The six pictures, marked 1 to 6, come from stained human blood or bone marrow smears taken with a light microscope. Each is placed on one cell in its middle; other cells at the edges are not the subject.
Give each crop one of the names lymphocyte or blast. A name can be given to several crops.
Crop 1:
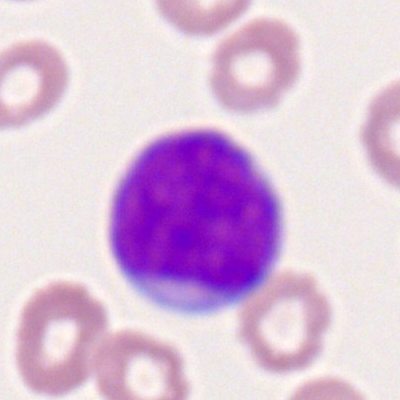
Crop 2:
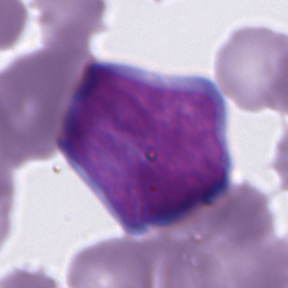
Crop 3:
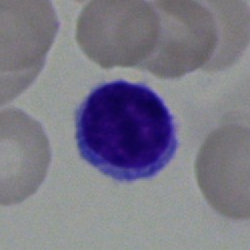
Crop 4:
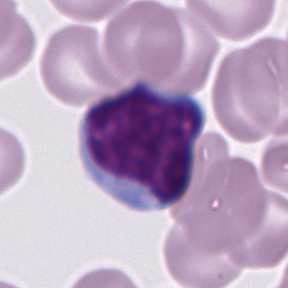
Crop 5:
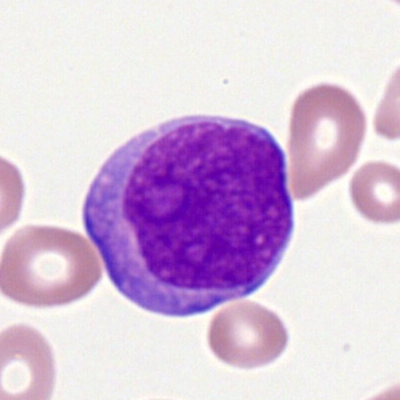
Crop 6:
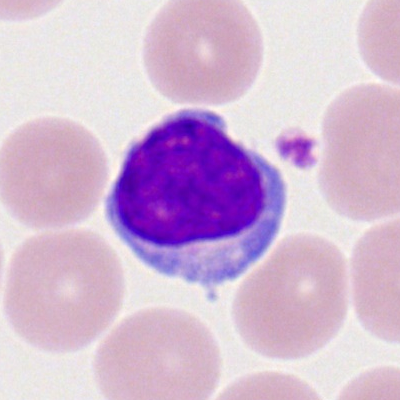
1: blast
2: blast
3: lymphocyte
4: lymphocyte
5: blast
6: lymphocyte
